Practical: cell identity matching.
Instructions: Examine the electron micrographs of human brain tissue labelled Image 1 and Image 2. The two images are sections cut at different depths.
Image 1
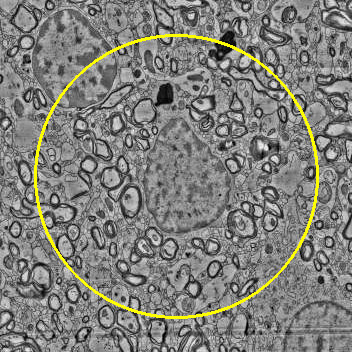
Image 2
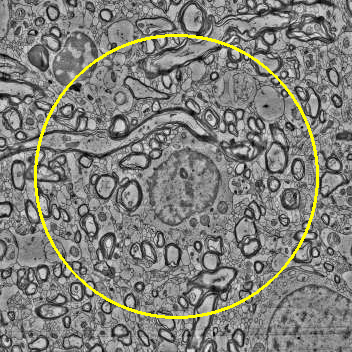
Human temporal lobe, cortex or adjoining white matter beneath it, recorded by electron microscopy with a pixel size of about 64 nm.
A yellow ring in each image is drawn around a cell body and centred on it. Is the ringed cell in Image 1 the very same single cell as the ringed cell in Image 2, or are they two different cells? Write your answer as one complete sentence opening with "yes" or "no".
Yes, both marked profiles belong to the very same cell.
